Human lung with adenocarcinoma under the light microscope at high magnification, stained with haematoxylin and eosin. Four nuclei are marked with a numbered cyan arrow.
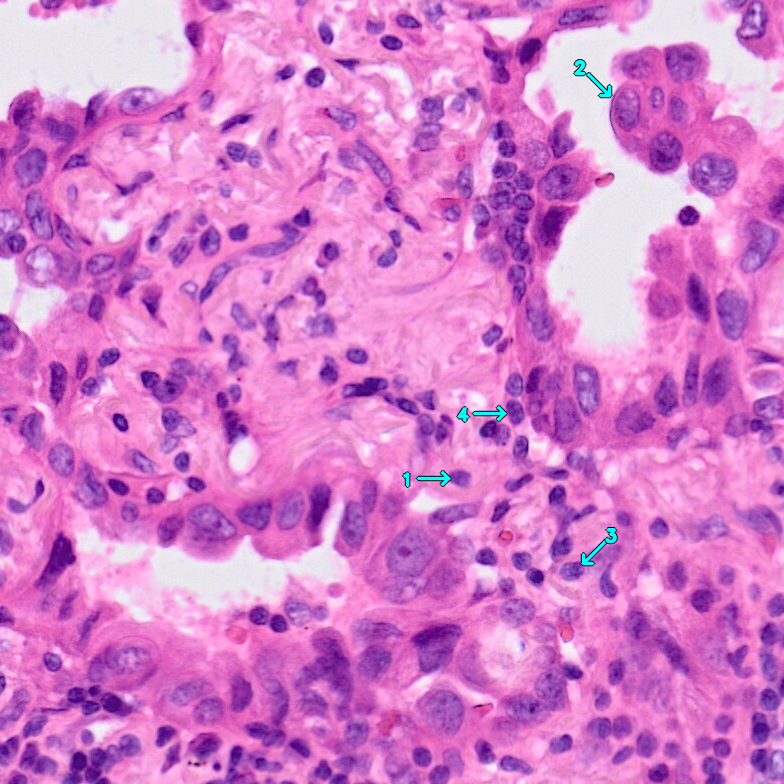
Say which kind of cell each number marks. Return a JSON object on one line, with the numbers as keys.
{"1": "lymphocyte", "2": "carcinoma cell", "3": "lymphocyte", "4": "lymphocyte"}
